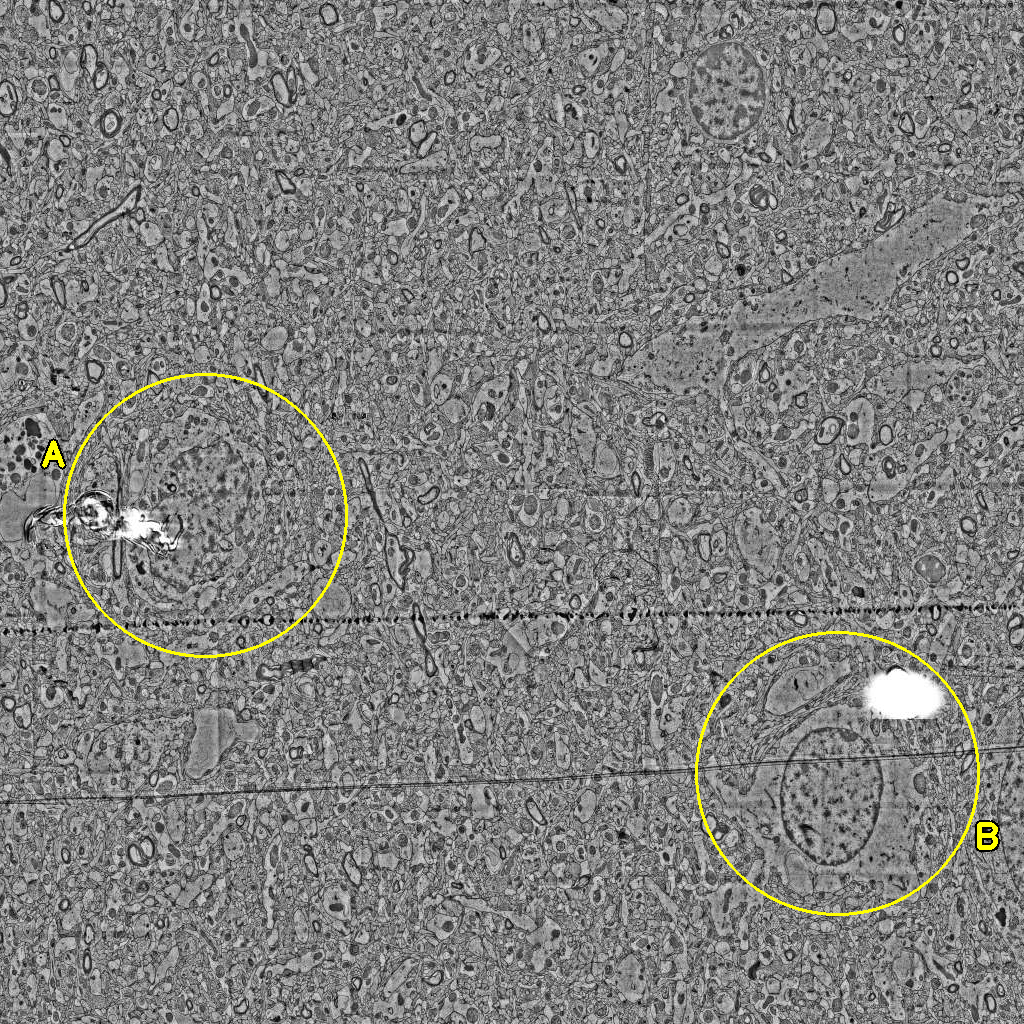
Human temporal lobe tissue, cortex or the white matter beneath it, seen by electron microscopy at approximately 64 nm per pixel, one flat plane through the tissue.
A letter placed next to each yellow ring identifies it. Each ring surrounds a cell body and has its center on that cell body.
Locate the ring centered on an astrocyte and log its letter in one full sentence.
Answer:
Ring B has at its center the cell that the task asks for.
